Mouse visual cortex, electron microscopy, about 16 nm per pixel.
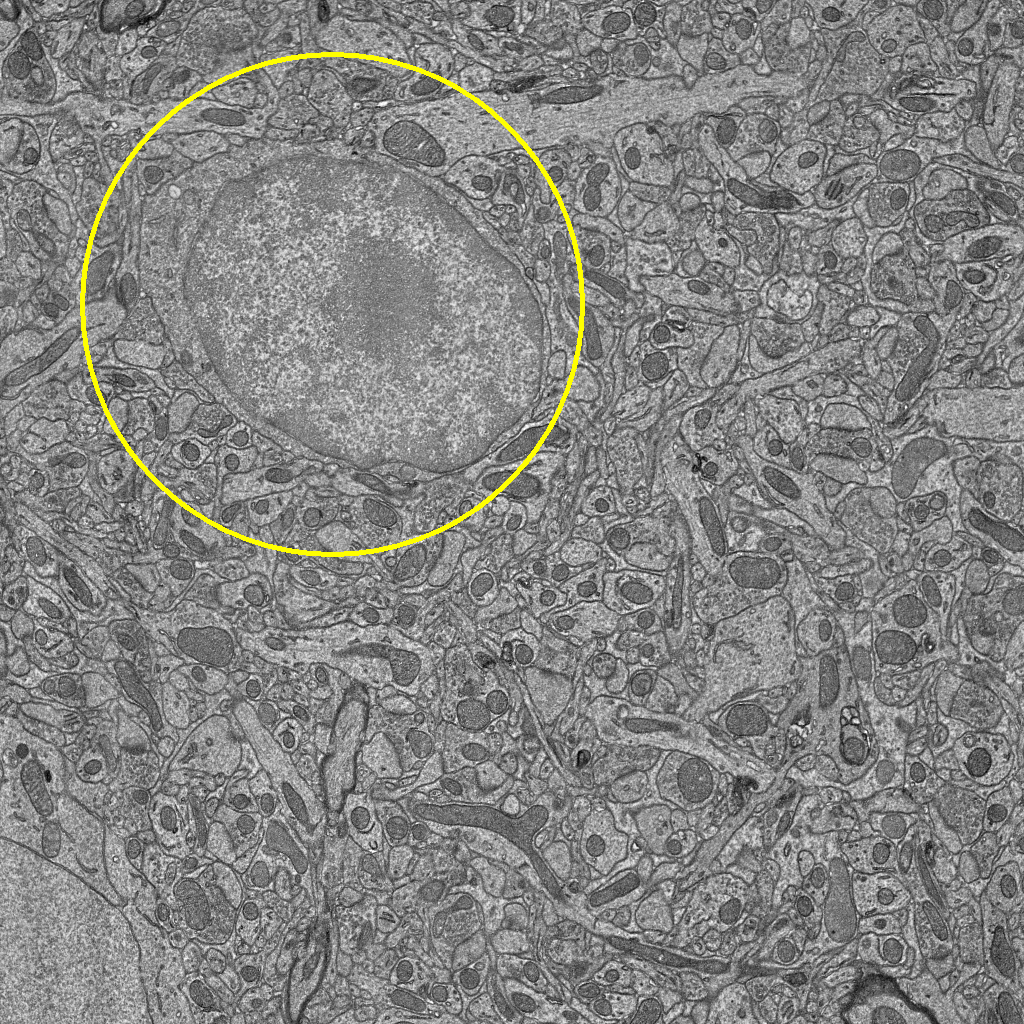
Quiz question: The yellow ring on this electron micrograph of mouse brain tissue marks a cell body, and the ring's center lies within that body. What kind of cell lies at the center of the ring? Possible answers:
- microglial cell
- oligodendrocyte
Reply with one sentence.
The ring's center lies on an oligodendrocyte.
